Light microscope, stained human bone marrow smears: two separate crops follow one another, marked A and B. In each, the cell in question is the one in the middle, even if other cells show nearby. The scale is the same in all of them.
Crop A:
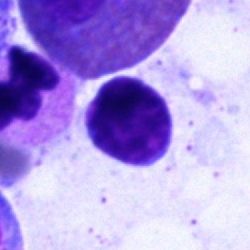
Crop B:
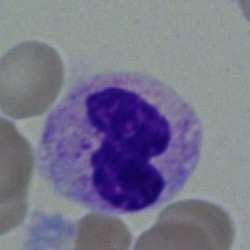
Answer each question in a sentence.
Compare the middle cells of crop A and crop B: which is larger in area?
It is the cell in crop B, about 2.5 times as large in area as the cell in crop A.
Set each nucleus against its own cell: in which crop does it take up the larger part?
In crop A the nucleus takes up the larger part of its cell.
